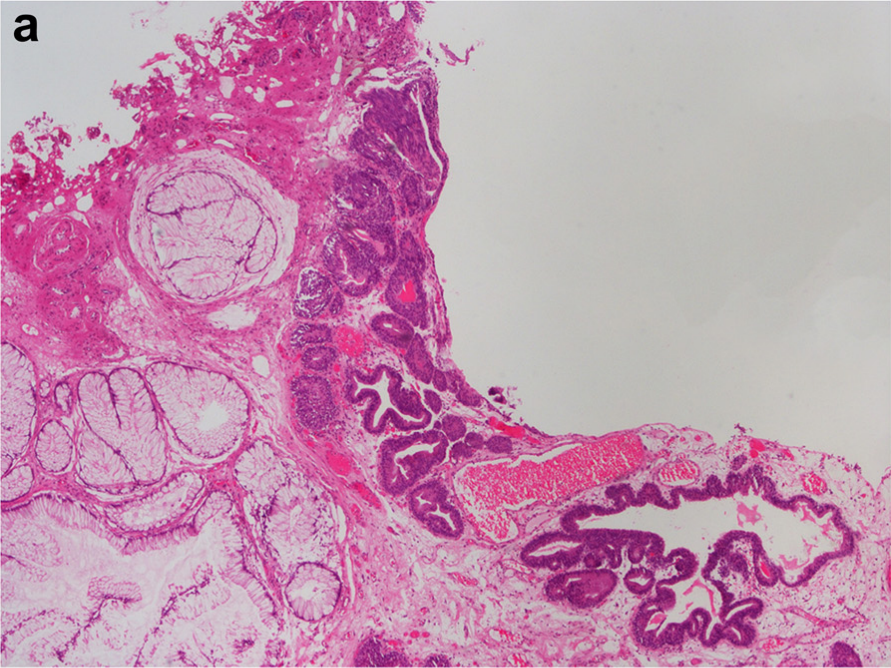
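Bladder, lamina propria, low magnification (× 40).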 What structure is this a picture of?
Intestinal-like glands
